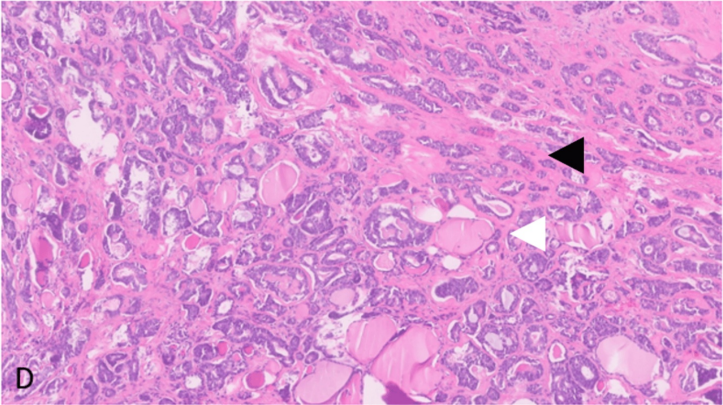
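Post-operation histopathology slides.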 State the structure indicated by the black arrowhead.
tubular patterns of adenoid cystic carcinoma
